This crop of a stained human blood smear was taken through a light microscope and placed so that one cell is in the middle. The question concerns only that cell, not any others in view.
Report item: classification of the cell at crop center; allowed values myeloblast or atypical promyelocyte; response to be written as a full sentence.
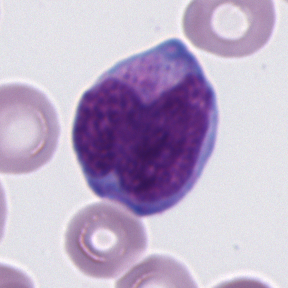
The cell positioned in the middle of the field is an atypical promyelocyte.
